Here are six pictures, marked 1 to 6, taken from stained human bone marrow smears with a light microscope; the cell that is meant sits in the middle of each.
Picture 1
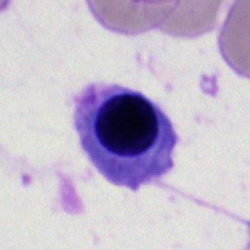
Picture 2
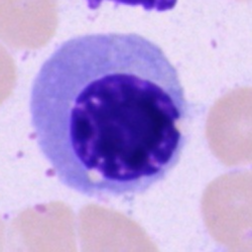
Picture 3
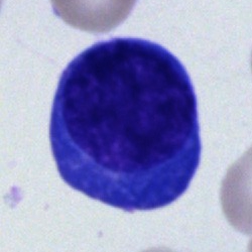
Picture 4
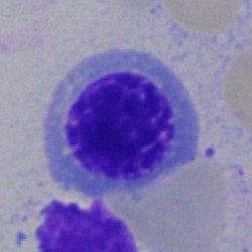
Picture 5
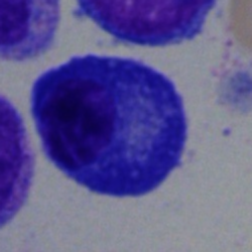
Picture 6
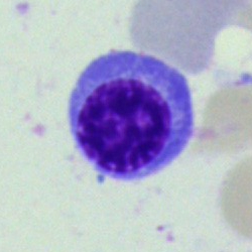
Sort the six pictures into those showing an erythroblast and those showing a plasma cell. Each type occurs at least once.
1: erythroblast
2: erythroblast
3: plasma cell
4: erythroblast
5: plasma cell
6: erythroblast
